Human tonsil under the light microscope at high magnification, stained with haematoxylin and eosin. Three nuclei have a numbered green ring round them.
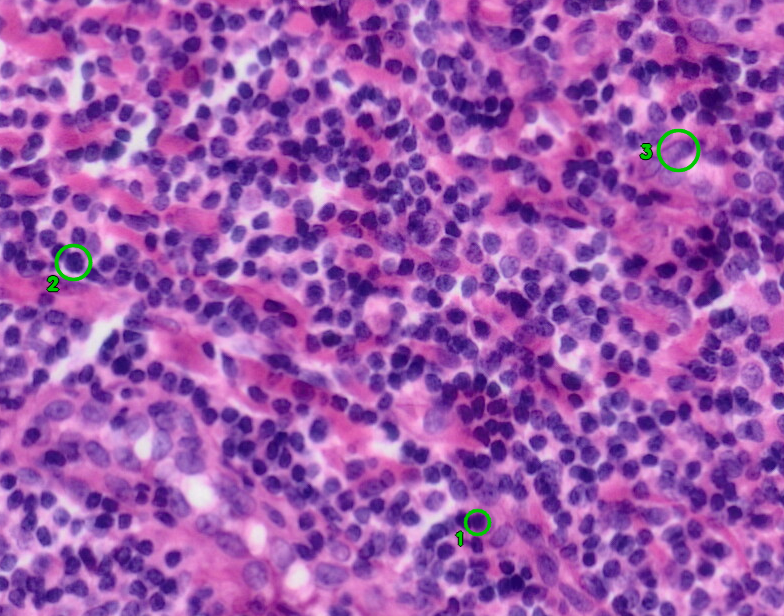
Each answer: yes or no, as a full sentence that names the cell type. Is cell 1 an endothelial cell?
Yes, the numbered nucleus 1 is that of an endothelial cell.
